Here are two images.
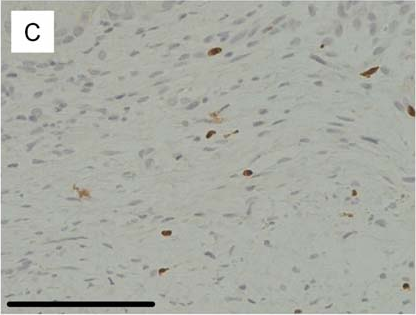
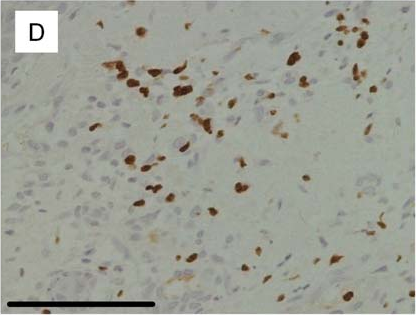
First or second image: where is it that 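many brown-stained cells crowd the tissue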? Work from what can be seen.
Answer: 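Second image: dozens of dark brown rounded cells, densely clustered in the upper part and scattered across the field. First image: only a few scattered brown cells among many unstained spindle-shaped cells.
Answer: the second image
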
